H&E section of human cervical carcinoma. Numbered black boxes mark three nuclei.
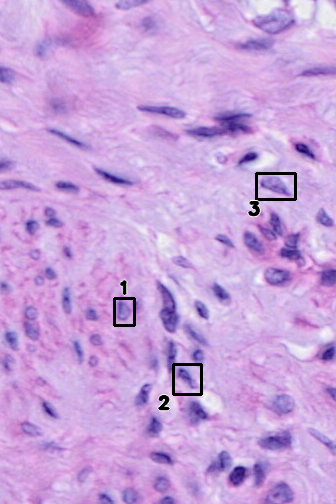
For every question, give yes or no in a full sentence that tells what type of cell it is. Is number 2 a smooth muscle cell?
No, the cell given number 2 is a fibroblast, not a smooth muscle cell.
